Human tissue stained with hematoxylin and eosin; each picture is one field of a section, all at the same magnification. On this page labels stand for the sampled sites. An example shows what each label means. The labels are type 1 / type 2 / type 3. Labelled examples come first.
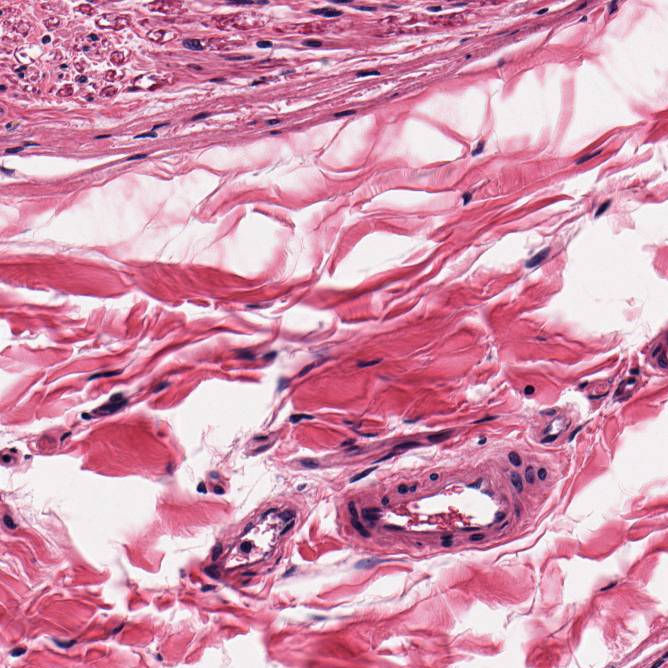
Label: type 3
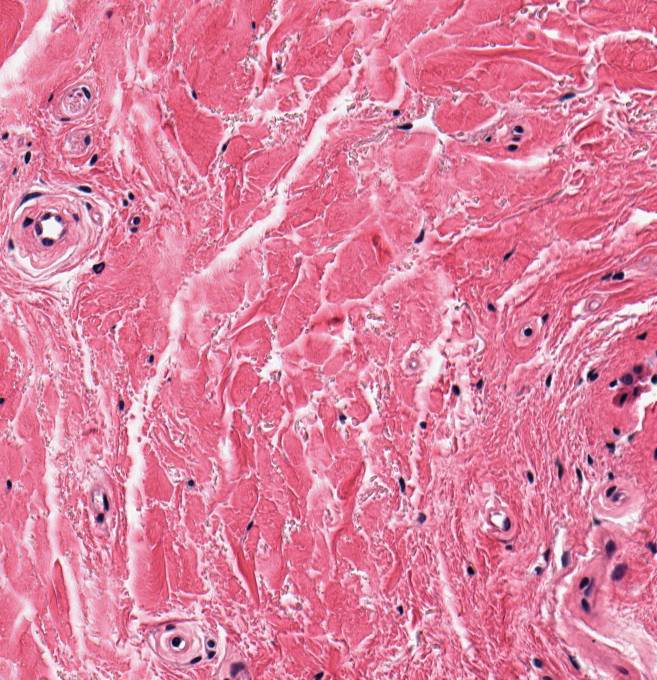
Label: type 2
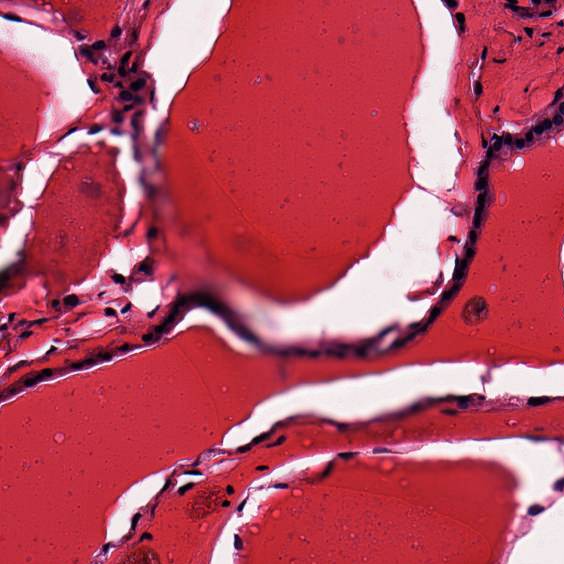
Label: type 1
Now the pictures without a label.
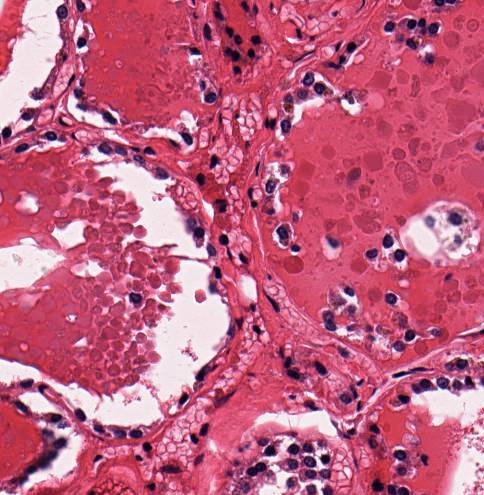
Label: type 1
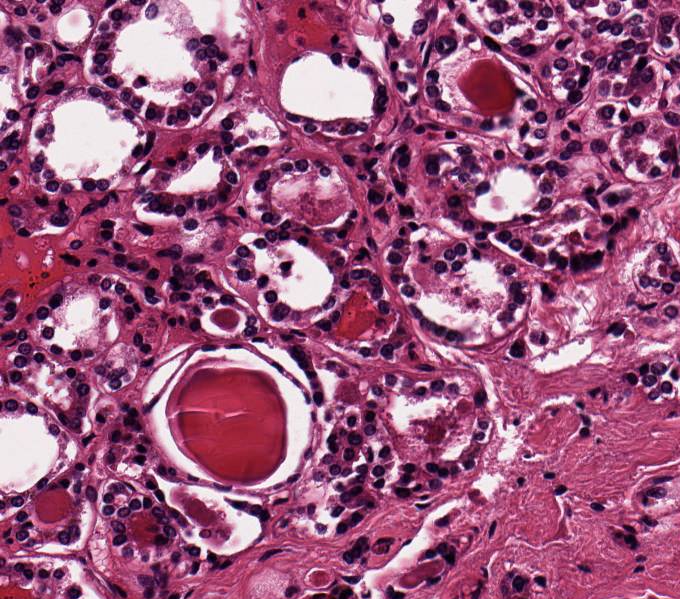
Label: type 1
